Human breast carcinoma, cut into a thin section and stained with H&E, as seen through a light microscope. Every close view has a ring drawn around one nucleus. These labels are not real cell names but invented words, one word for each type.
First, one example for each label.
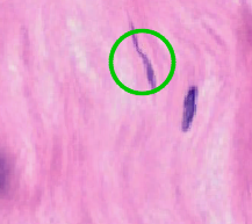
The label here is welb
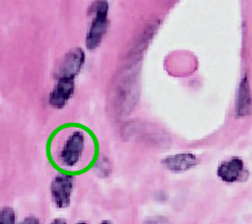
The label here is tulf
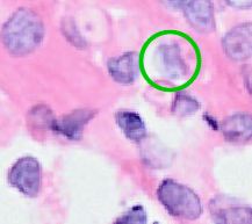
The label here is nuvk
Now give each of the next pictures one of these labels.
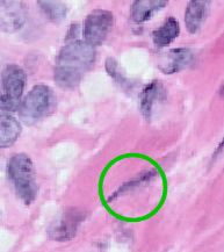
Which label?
welb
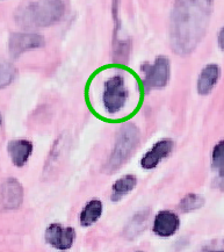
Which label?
tulf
